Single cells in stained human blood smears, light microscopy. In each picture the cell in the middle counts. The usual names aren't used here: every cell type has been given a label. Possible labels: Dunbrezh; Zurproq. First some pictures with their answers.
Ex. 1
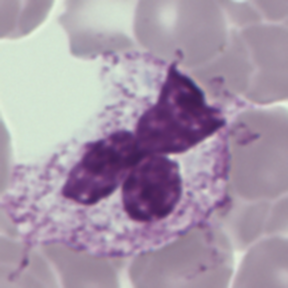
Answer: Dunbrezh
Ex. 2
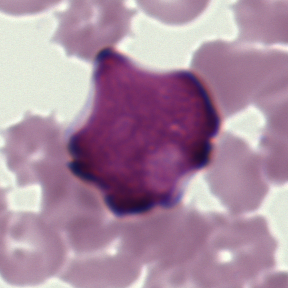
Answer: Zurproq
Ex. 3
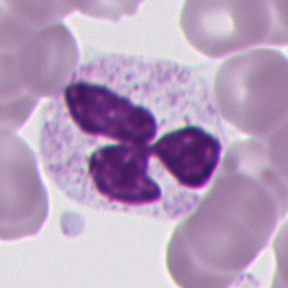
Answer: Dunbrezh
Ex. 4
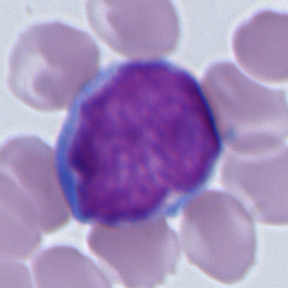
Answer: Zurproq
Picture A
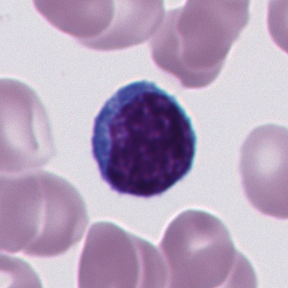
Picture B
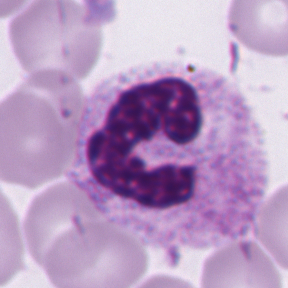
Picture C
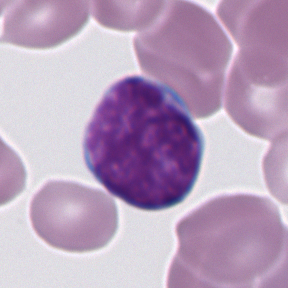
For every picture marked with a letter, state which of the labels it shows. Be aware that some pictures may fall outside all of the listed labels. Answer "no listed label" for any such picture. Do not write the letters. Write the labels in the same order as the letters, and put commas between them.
no listed label, Dunbrezh, no listed label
